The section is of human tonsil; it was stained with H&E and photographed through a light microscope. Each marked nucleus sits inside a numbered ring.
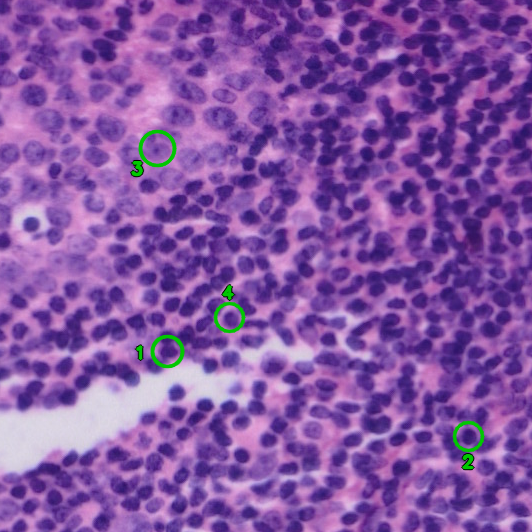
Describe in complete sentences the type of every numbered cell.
Cell 1 is a small lymphocyte, cell 2 is a small lymphocyte, cell 3 is a proliferating B cell and cell 4 is a small lymphocyte.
